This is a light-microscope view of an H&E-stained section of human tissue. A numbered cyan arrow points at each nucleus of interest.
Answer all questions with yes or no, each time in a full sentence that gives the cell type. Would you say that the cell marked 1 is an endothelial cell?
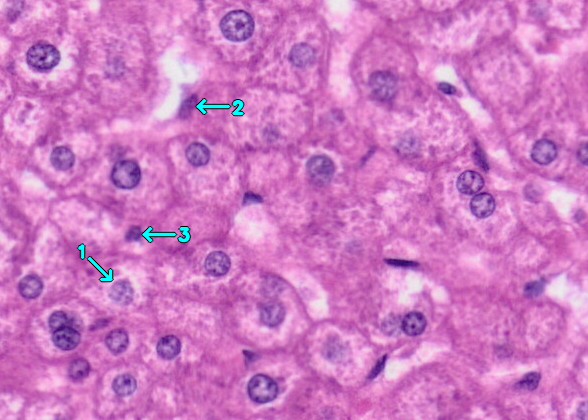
No, the cell bearing number 1 is not an endothelial cell but a hepatocyte.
